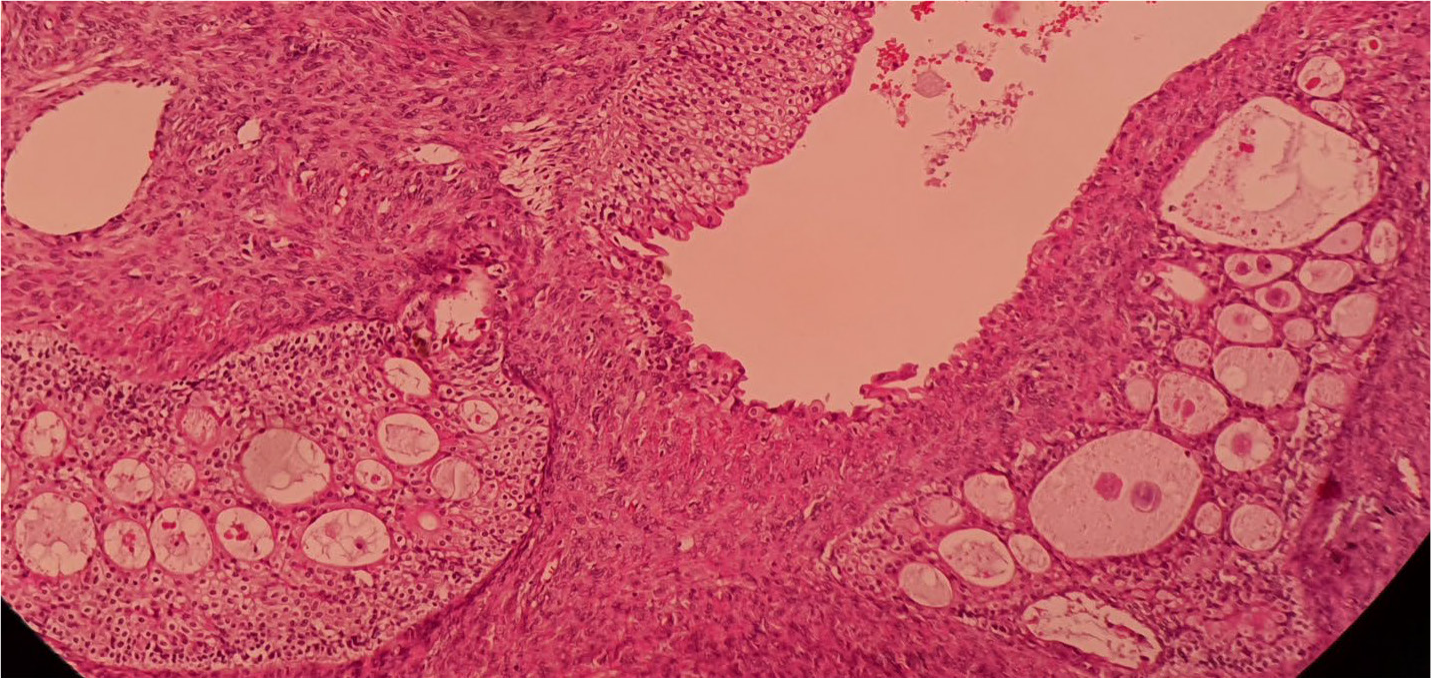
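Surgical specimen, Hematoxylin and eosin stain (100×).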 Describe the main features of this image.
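This low-power field shows rounded nests of transitional-type epithelium set within a cellular stroma of spindle-shaped cells. Two large nests lie at the lower left and at the right. Each is made of closely packed epithelial cells with oval nuclei and pale pink cytoplasm, forming several cell layers. Within the nests are numerous round to oval cystic spaces of different sizes. Most of these spaces hold pale pink material, and some contain a few rounded cells. In the upper middle a large, elongated cystic space is lined by a multilayered epithelium, and a smaller empty space lies at the upper left within the stroma.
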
